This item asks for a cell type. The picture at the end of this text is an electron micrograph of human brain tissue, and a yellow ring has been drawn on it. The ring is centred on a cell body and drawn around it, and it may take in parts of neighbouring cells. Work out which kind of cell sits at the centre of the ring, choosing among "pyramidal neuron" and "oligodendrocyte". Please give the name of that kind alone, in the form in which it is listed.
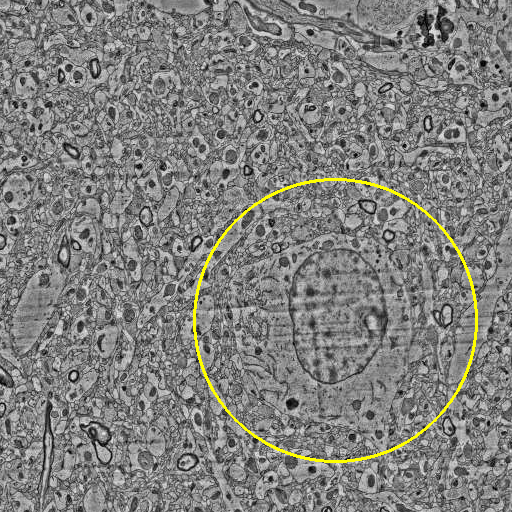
pyramidal neuron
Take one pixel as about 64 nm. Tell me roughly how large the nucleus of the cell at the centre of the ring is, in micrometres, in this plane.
Roughly 9 by 6 micrometres is the size of the nucleus in this plane.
